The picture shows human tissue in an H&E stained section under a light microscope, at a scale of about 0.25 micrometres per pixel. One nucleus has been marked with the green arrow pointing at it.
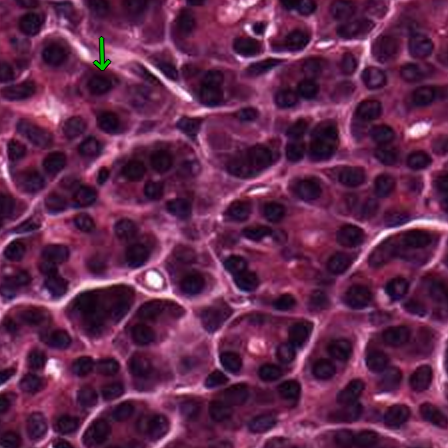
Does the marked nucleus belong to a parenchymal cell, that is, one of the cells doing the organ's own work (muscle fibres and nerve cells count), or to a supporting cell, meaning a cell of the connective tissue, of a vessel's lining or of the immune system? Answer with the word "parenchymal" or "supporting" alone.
parenchymal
